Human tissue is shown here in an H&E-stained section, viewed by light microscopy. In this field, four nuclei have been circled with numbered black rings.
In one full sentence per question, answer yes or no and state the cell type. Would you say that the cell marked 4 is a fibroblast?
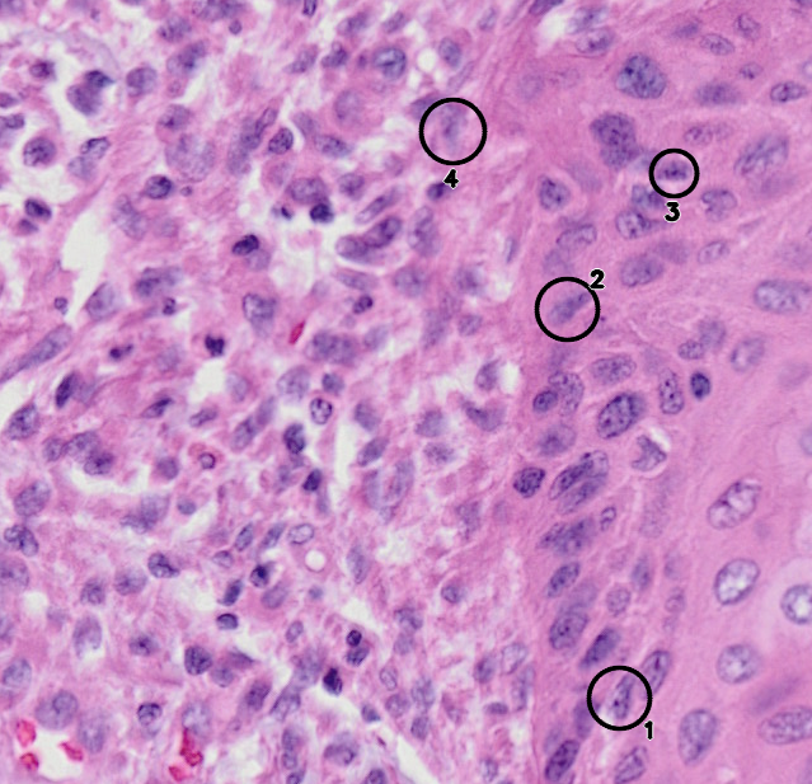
Yes, number 4 is assigned to a cell that is a fibroblast.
